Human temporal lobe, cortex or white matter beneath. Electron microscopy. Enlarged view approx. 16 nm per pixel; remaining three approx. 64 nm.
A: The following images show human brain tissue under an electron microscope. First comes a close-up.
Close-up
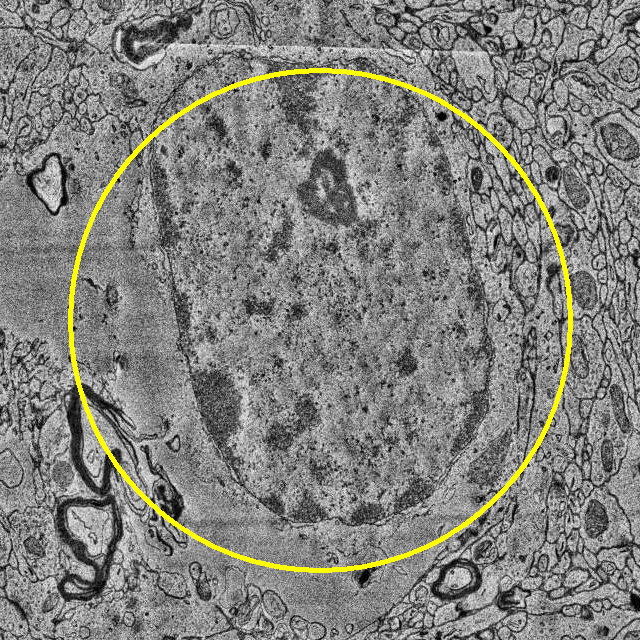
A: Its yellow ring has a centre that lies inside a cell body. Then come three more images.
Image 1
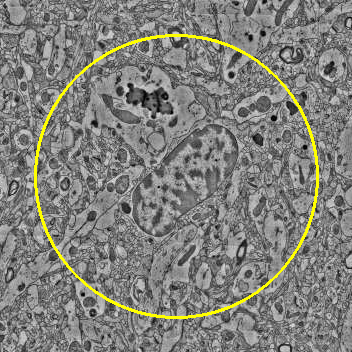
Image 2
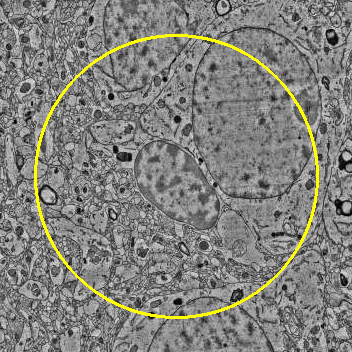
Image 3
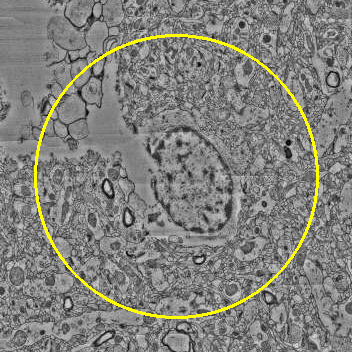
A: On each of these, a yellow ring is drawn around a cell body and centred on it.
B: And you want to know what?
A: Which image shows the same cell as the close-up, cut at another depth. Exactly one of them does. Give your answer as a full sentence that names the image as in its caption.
The cell chosen for the close-up is marked in Image 3.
